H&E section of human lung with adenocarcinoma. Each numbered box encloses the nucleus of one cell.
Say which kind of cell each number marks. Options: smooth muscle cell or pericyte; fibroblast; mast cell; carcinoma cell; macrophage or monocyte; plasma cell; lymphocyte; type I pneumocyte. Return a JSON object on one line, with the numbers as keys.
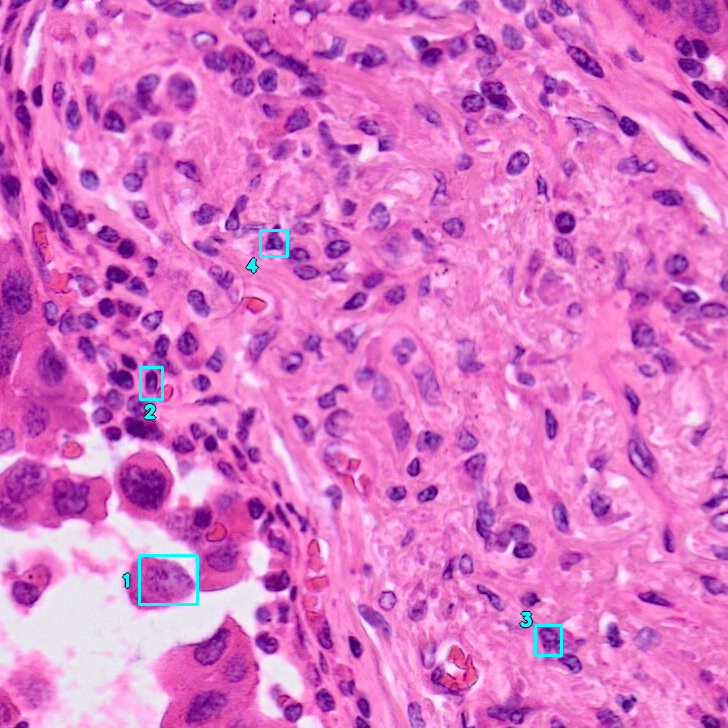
{"1": "carcinoma cell", "2": "lymphocyte", "3": "plasma cell", "4": "lymphocyte"}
